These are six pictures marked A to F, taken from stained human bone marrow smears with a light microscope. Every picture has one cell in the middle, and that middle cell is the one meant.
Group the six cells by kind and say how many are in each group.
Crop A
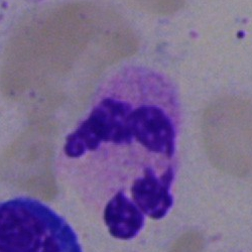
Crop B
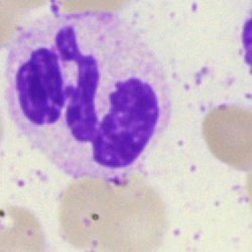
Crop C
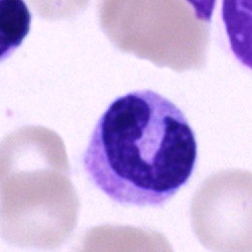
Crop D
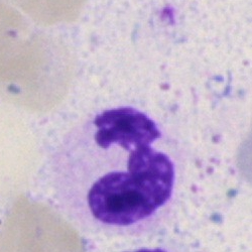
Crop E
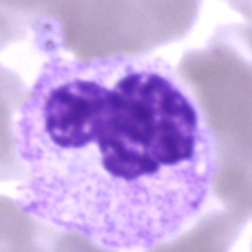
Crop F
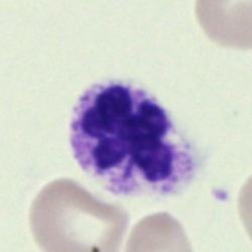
segmented neutrophil: 5
band neutrophil: 1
